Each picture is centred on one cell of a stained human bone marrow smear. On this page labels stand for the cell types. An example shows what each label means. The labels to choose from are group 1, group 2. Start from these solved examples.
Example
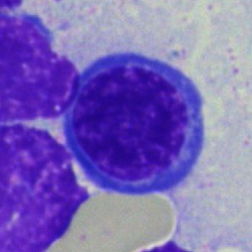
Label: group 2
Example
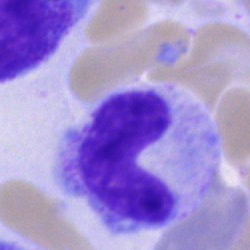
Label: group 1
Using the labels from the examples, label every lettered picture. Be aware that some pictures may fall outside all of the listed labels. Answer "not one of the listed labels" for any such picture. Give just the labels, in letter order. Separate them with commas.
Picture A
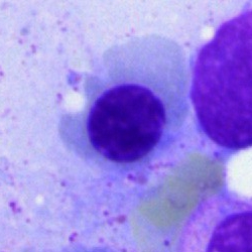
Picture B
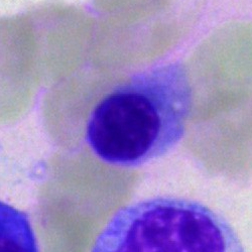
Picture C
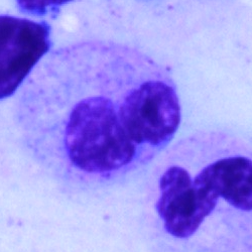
group 2, group 2, group 1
